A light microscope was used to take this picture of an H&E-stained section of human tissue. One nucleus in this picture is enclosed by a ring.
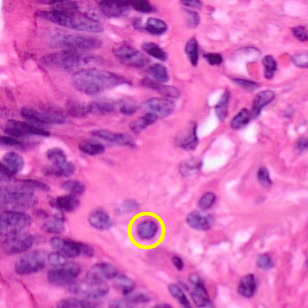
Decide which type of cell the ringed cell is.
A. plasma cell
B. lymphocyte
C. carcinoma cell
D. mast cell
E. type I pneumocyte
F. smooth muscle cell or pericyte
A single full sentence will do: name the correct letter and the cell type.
What option D states, that the ringed cell is a mast cell, is correct.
